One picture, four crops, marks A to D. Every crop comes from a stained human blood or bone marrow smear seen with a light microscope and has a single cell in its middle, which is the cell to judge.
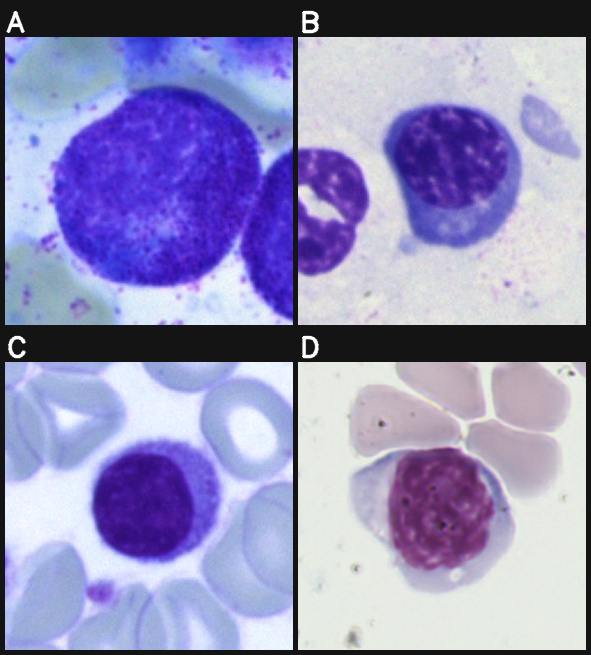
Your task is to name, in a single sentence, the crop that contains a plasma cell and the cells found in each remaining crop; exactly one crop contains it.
In the crop designated D, the cell is a plasma cell, while crop A is a promyelocyte, crop B is an erythroblast and crop C is a lymphocyte.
